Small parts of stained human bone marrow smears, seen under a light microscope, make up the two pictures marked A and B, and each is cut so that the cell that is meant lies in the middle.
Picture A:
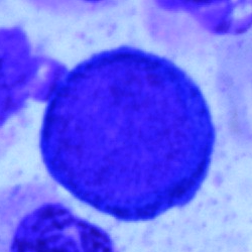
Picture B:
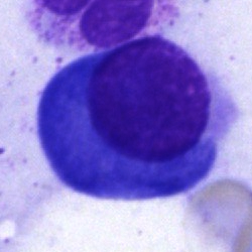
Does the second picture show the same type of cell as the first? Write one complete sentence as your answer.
No. Picture A shows a proerythroblast, but picture B shows a plasma cell.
